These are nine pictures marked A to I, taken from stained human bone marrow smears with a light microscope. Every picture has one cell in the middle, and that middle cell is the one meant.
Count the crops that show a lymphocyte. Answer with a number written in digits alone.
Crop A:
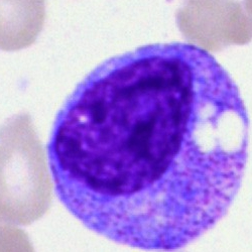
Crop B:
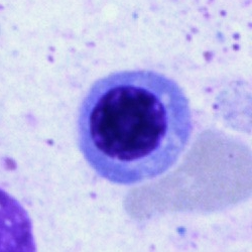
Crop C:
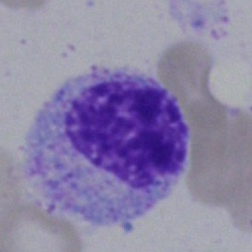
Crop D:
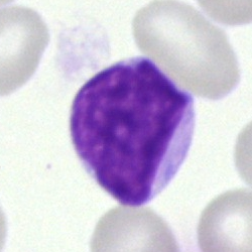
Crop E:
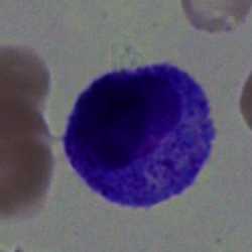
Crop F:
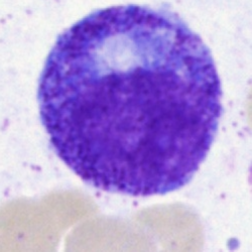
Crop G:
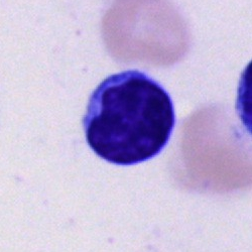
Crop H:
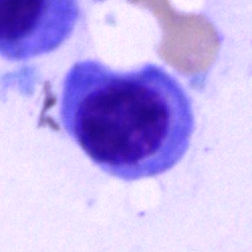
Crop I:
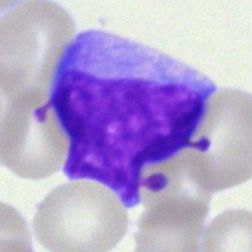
1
